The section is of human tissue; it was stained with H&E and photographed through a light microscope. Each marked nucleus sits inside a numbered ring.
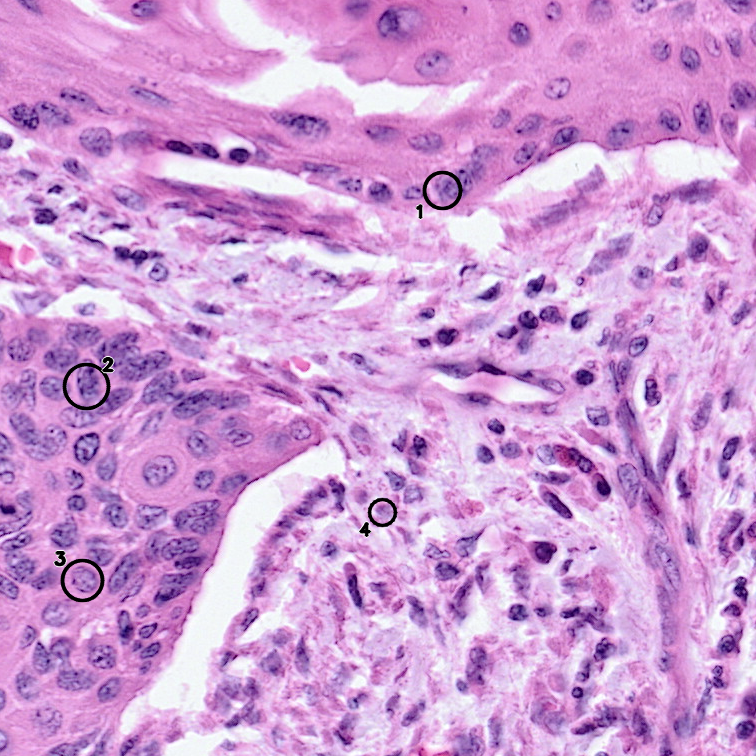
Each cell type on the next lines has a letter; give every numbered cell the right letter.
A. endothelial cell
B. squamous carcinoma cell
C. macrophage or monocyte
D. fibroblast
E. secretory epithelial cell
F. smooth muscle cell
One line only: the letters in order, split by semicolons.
B; B; B; D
